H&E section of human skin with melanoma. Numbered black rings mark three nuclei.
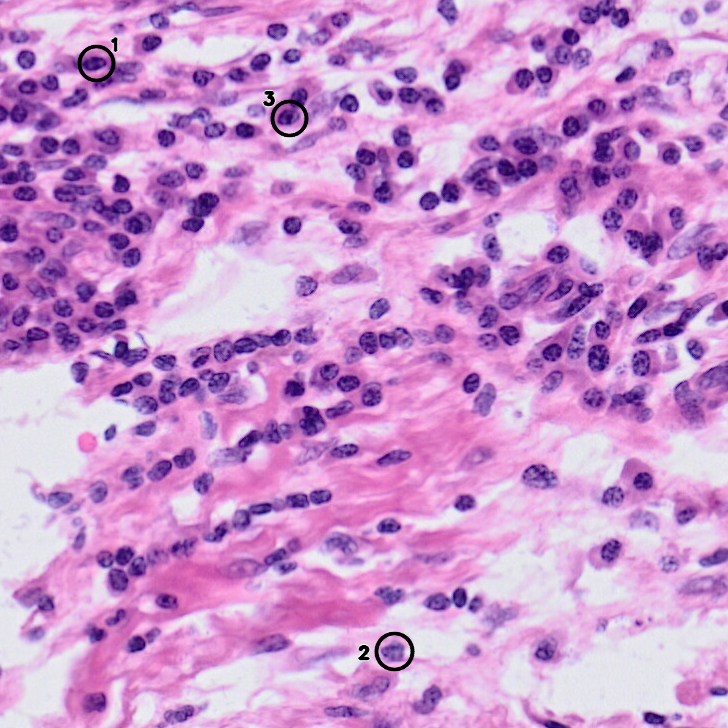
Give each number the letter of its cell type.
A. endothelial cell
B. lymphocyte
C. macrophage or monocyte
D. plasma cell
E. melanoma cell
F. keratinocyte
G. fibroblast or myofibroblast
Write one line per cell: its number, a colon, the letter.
1: D
2: B
3: D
